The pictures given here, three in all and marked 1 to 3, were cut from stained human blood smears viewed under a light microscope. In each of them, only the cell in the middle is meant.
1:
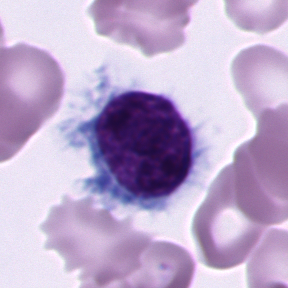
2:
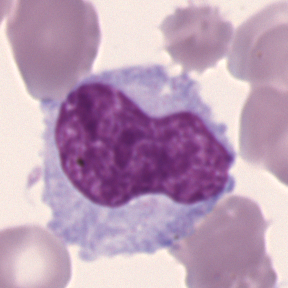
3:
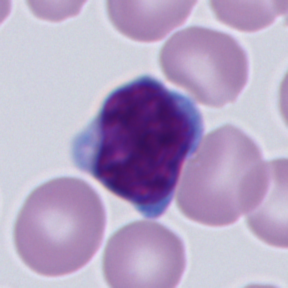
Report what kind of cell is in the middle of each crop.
1: hairy cell
2: monocyte
3: typical lymphocyte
